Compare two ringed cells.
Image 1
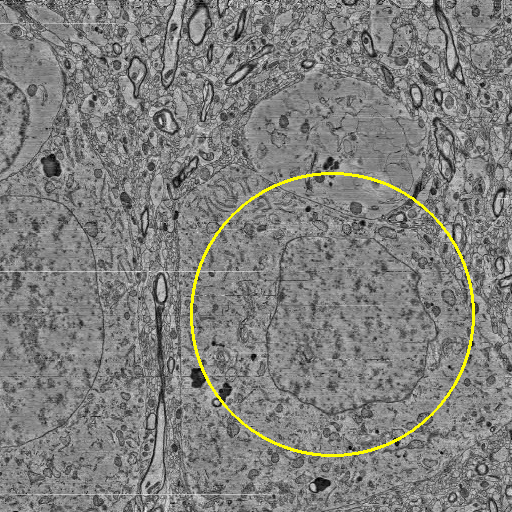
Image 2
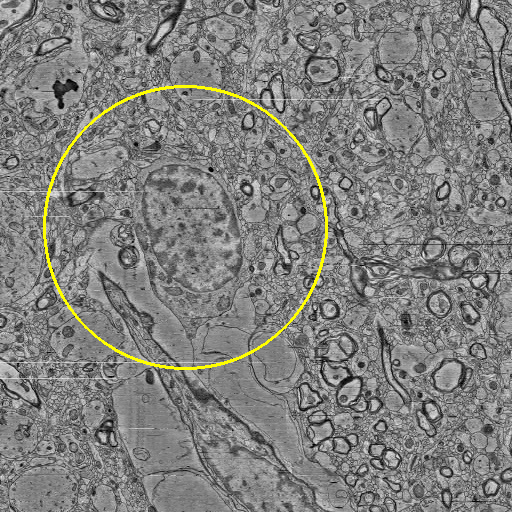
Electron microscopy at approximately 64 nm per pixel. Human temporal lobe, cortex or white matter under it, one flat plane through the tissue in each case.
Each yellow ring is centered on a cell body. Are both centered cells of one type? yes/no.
no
